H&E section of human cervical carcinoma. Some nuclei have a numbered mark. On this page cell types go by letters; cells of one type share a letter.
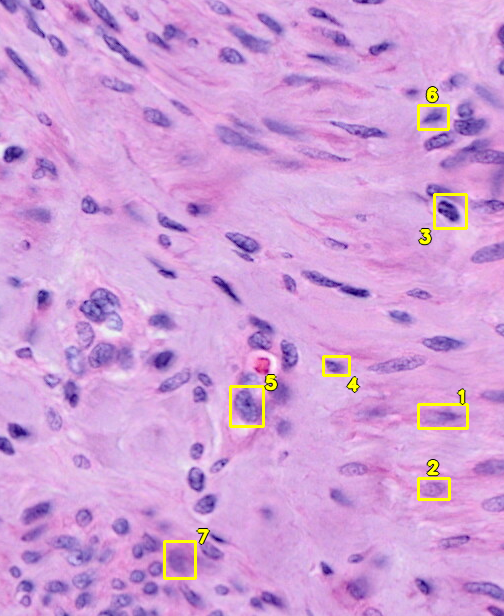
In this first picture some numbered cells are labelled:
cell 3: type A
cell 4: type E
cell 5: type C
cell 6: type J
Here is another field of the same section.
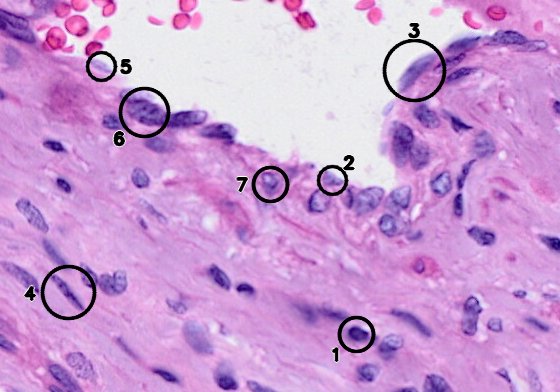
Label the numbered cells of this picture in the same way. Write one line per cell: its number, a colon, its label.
1: type A
2: type C
3: type C
4: type J
5: type C
6: type C
7: type E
